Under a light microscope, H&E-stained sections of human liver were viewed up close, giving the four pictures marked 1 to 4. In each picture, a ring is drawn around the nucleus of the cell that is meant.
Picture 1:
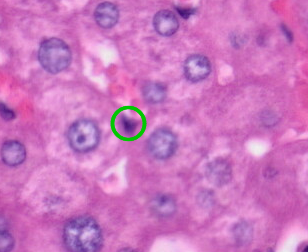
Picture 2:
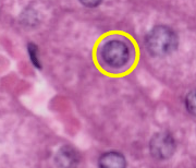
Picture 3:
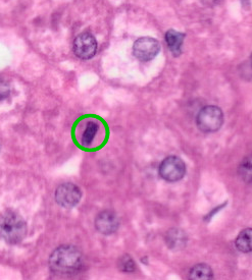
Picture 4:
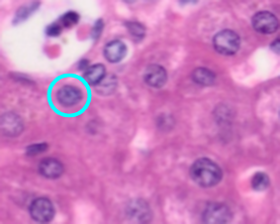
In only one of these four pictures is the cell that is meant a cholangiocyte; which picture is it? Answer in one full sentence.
The cell in picture 4 is the cholangiocyte.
